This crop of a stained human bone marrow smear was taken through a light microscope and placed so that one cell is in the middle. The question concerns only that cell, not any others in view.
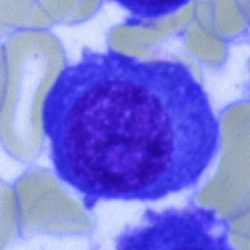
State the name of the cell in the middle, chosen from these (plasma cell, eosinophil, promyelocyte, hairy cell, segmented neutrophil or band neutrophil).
plasma cell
